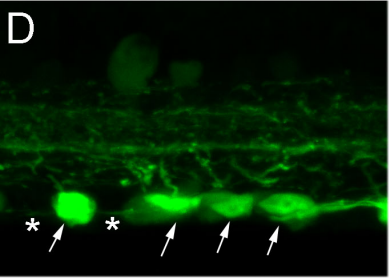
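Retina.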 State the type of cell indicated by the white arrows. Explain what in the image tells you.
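Large ganglion cells. Fine labelled processes run in the plexiform layer just above them.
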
